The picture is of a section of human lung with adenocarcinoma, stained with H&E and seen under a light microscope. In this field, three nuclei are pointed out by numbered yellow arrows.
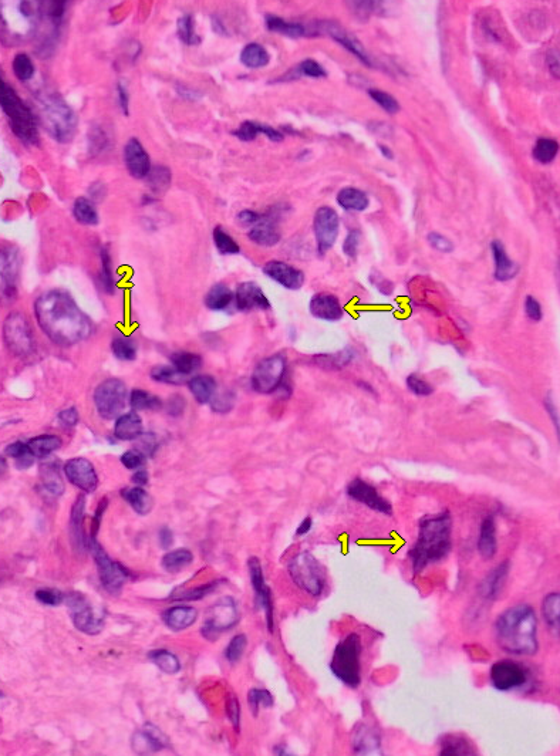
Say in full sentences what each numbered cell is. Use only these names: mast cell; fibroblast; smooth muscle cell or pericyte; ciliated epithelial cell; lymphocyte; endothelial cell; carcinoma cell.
Cell 1 is a carcinoma cell. Cells 2 and 3 are lymphocytes.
